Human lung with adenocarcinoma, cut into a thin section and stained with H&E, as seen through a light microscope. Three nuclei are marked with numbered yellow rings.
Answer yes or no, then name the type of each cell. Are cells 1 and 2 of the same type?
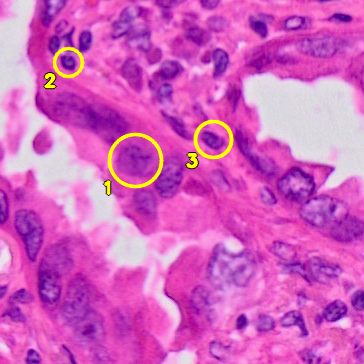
No; cell 1 is a carcinoma cell, whereas cell 2 is a lymphocyte.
